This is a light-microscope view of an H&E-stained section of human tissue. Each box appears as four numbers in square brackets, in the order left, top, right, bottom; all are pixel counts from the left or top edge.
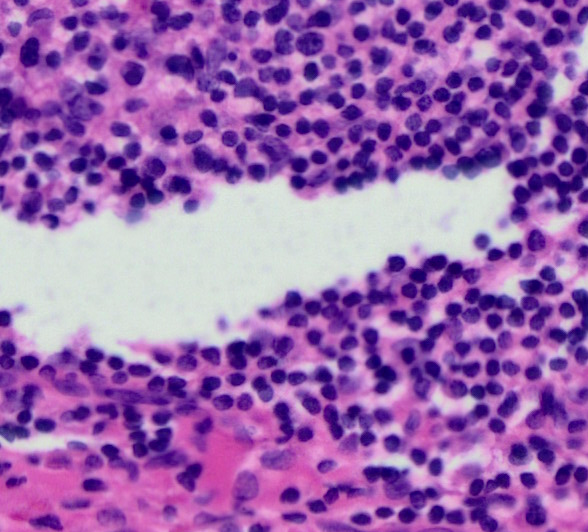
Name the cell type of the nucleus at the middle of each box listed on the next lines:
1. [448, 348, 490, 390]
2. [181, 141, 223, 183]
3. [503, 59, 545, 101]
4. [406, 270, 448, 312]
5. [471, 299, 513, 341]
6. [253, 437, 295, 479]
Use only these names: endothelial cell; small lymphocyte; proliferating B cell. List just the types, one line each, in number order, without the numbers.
small lymphocyte
proliferating B cell
small lymphocyte
small lymphocyte
small lymphocyte
endothelial cell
